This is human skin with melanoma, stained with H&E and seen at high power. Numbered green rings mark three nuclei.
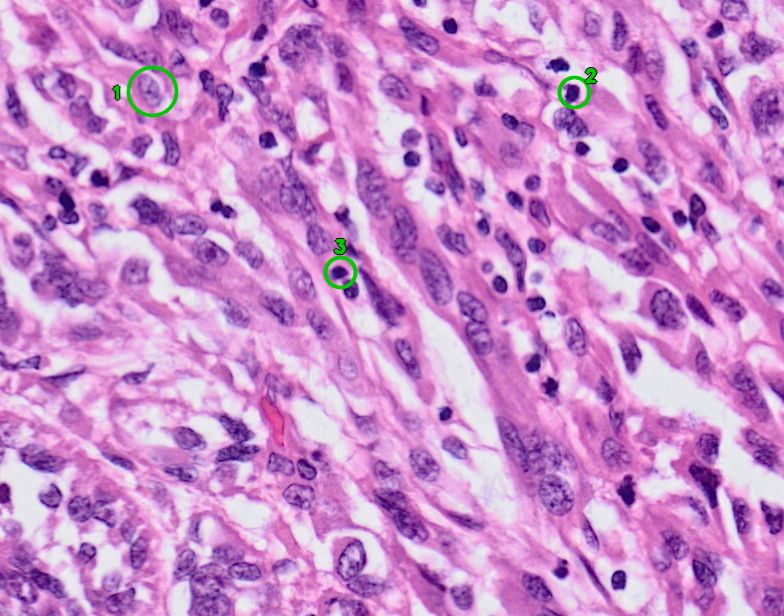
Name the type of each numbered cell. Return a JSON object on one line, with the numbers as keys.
{"1": "melanoma cell", "2": "lymphocyte", "3": "lymphocyte"}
